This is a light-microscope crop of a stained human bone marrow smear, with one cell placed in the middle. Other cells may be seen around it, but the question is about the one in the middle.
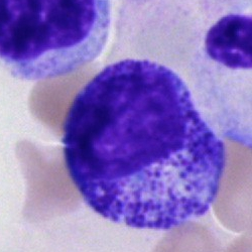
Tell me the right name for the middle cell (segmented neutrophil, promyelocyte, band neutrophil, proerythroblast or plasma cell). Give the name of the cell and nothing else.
promyelocyte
